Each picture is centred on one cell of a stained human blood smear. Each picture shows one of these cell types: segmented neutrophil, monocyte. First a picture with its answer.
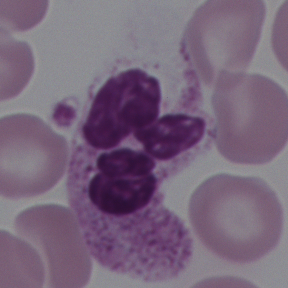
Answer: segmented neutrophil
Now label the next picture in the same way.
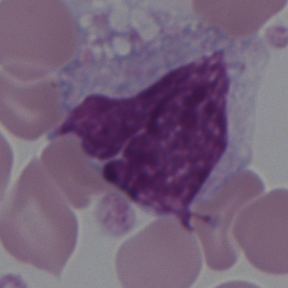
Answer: monocyte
